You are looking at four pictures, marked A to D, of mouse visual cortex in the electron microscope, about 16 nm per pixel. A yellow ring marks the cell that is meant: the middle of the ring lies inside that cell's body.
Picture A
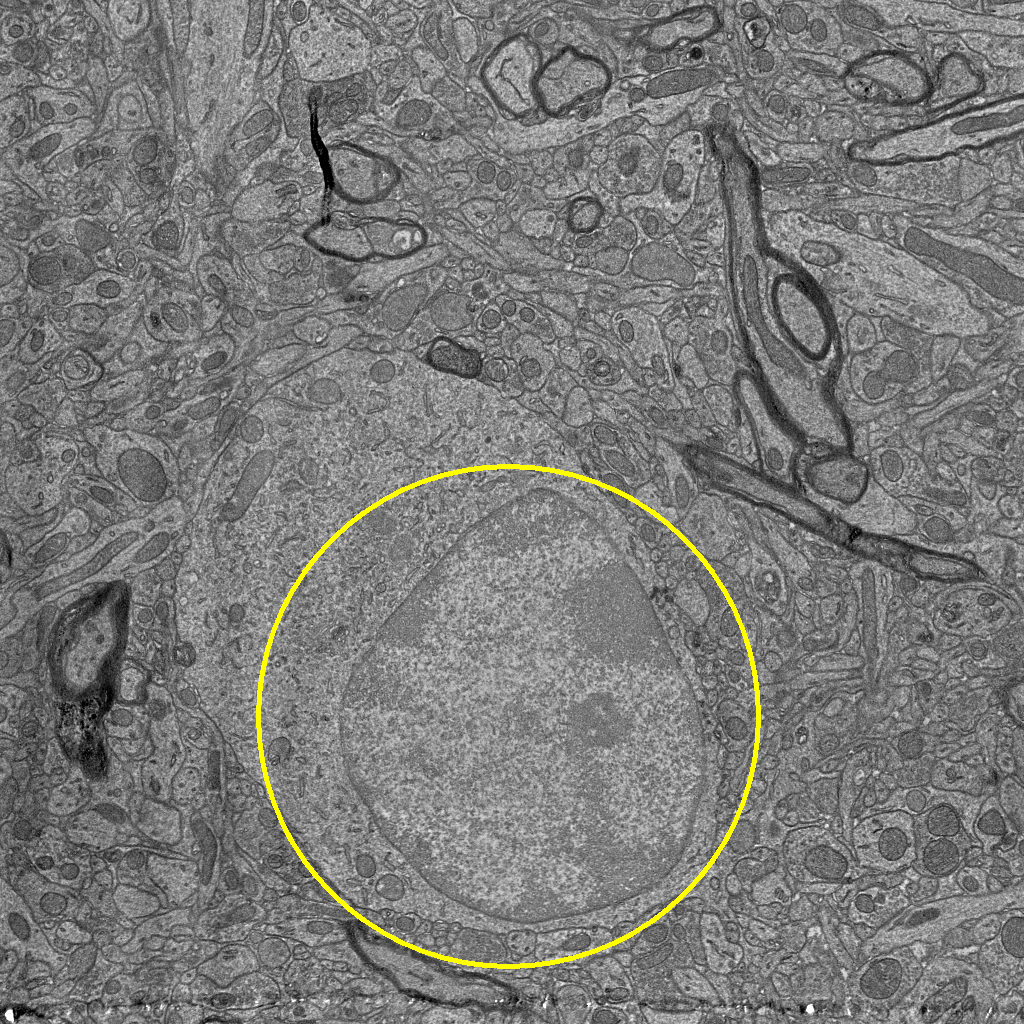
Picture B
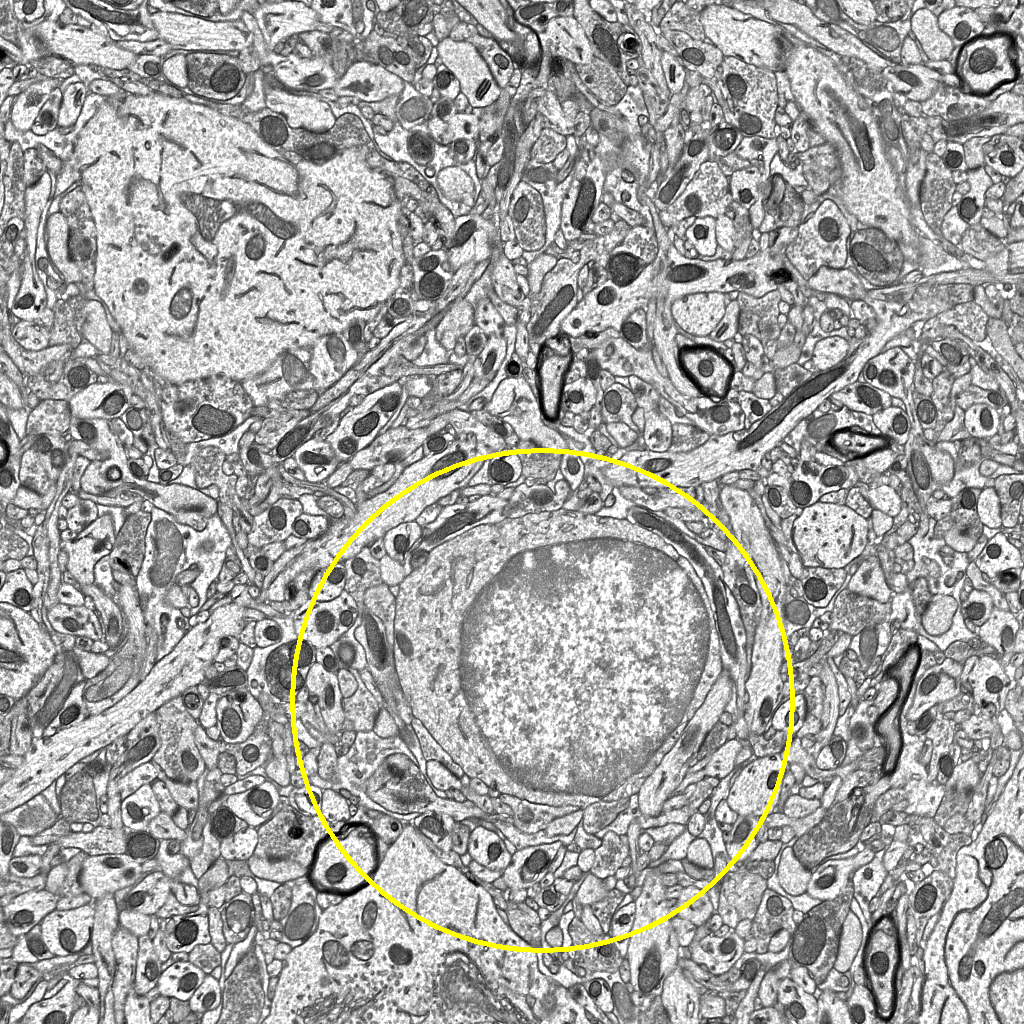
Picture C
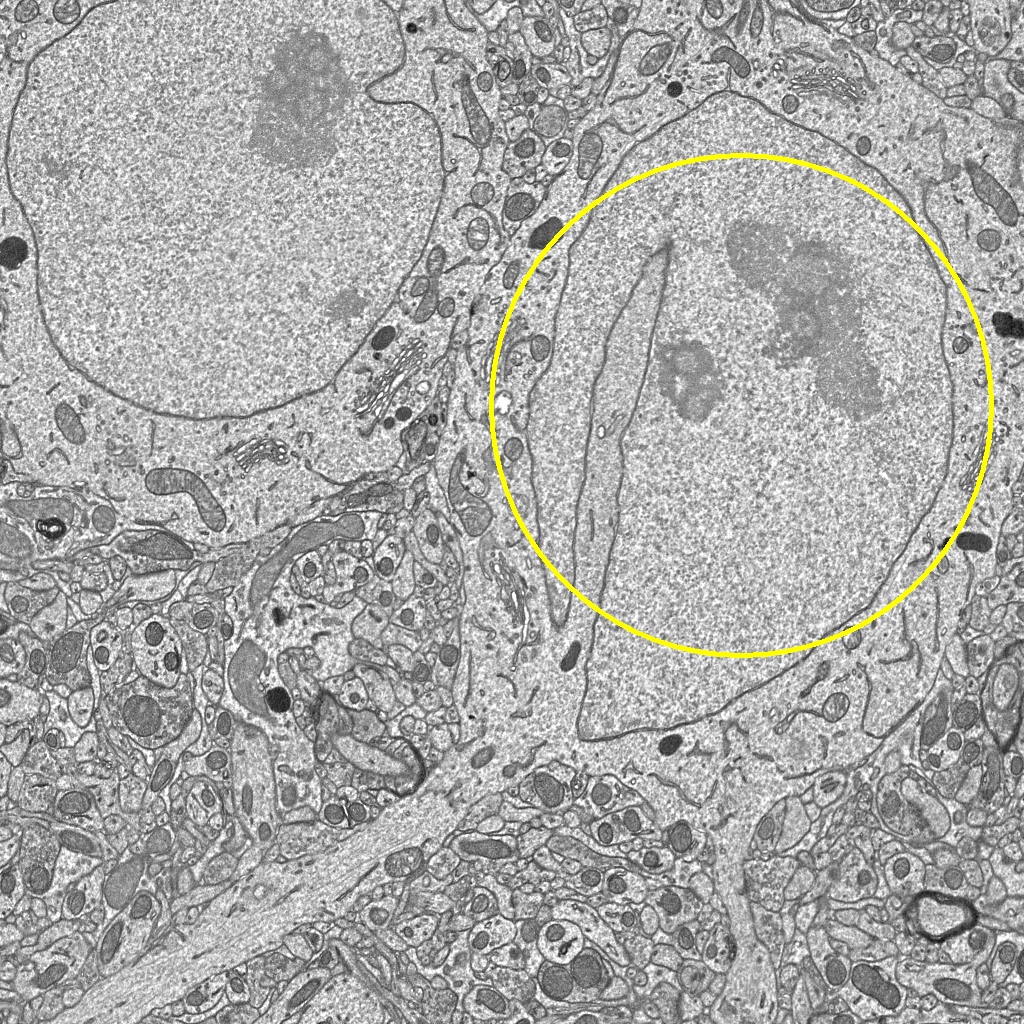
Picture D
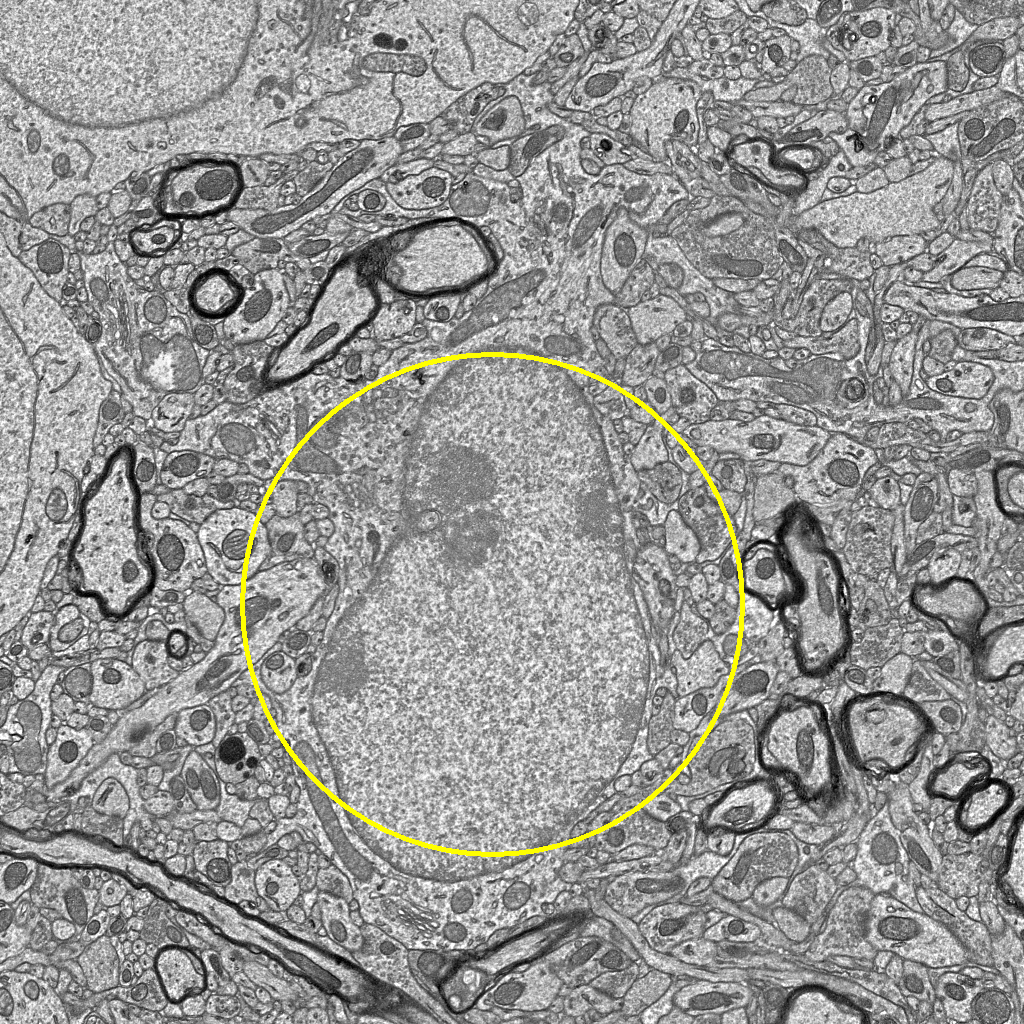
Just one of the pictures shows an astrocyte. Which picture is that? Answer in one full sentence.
It is picture D that shows the astrocyte.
